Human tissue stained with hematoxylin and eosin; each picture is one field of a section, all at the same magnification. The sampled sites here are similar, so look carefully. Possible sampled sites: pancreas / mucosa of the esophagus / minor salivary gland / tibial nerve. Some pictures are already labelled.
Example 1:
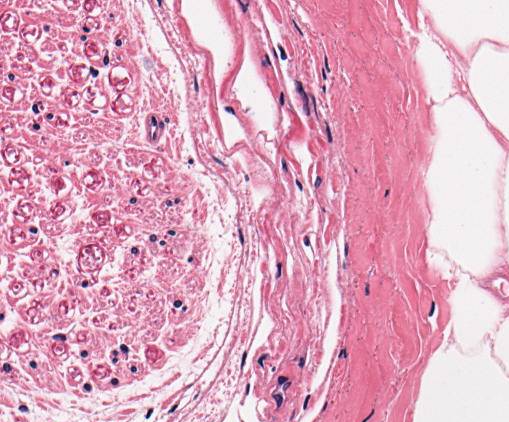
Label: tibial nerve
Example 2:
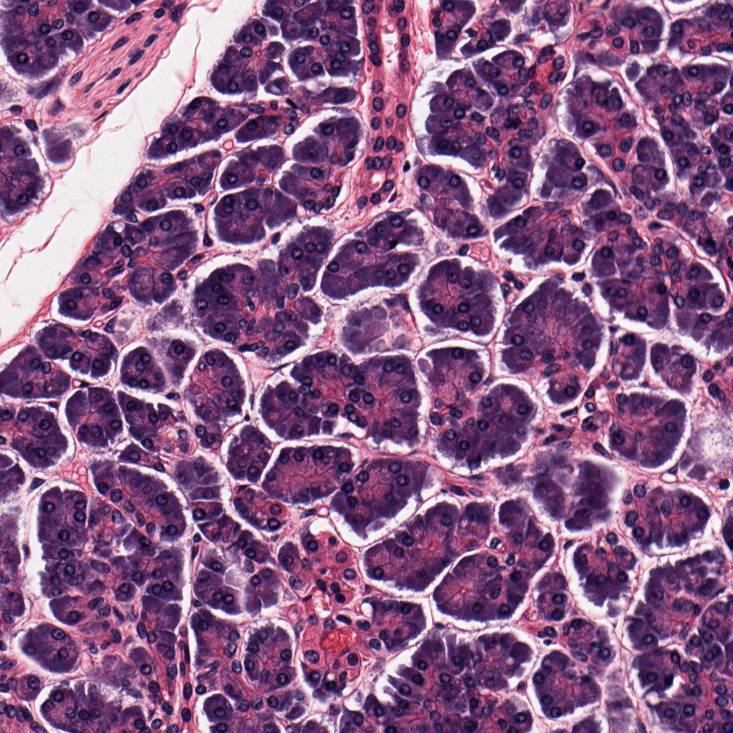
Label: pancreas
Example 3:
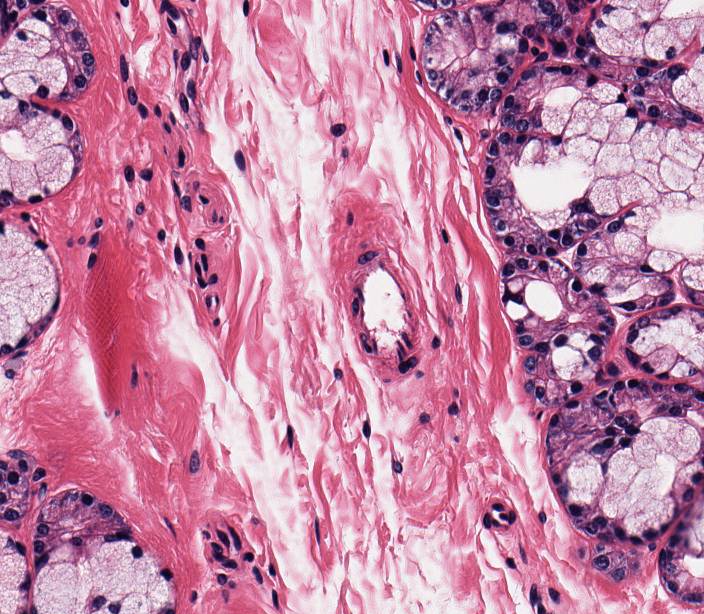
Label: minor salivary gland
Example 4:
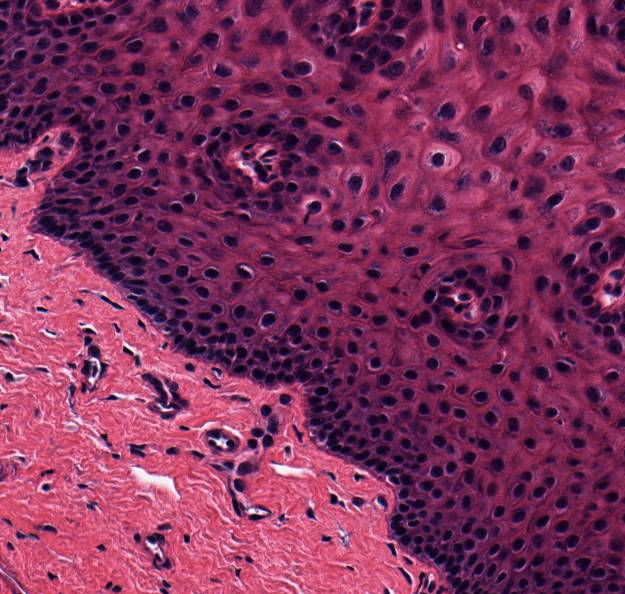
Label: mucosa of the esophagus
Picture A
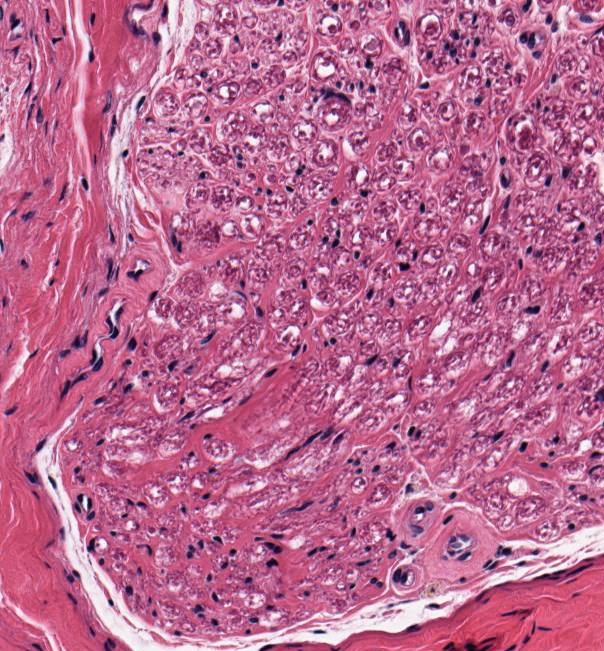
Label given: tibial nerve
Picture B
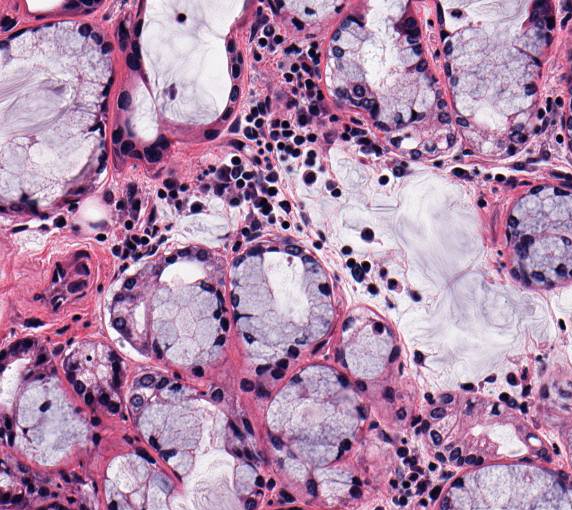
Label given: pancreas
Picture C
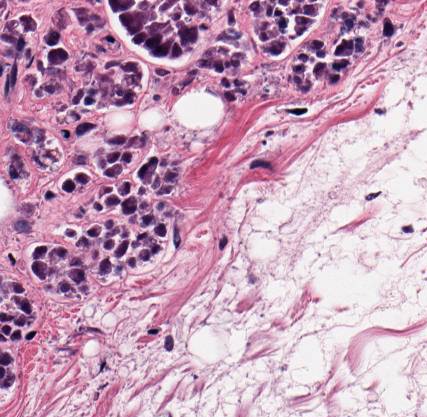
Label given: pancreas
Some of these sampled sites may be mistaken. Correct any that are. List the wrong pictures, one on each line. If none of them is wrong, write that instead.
B: minor salivary gland, not pancreas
